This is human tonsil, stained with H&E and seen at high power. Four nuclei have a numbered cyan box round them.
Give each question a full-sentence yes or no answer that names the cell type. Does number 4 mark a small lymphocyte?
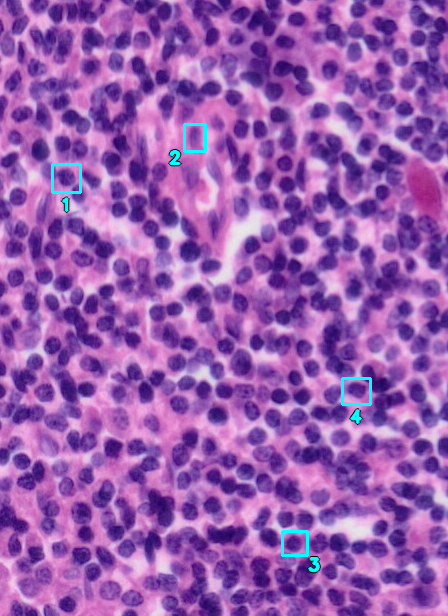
Yes, it is a small lymphocyte that carries the number 4.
